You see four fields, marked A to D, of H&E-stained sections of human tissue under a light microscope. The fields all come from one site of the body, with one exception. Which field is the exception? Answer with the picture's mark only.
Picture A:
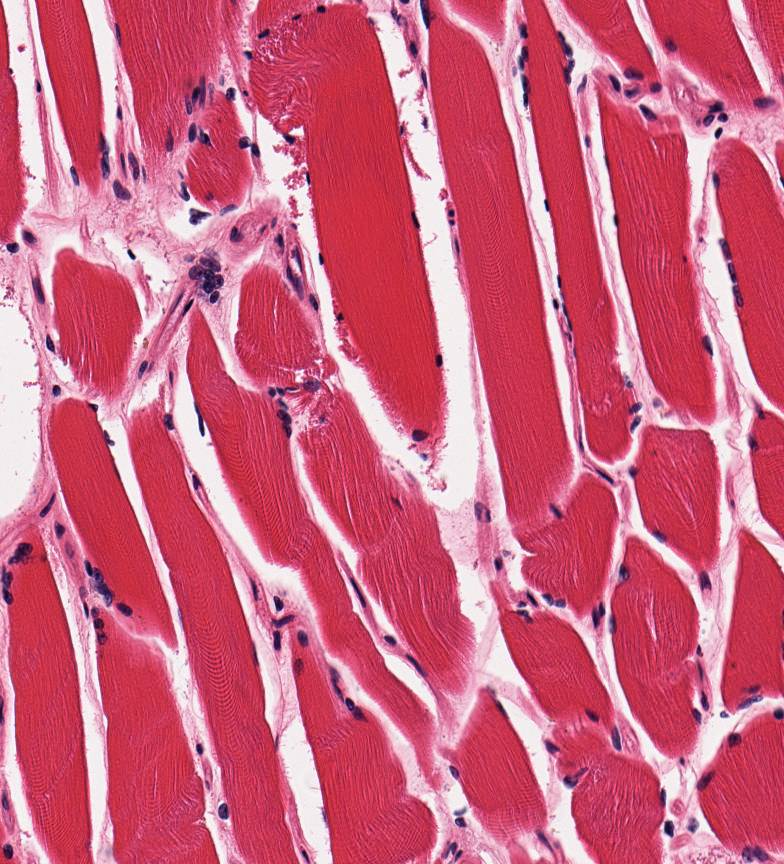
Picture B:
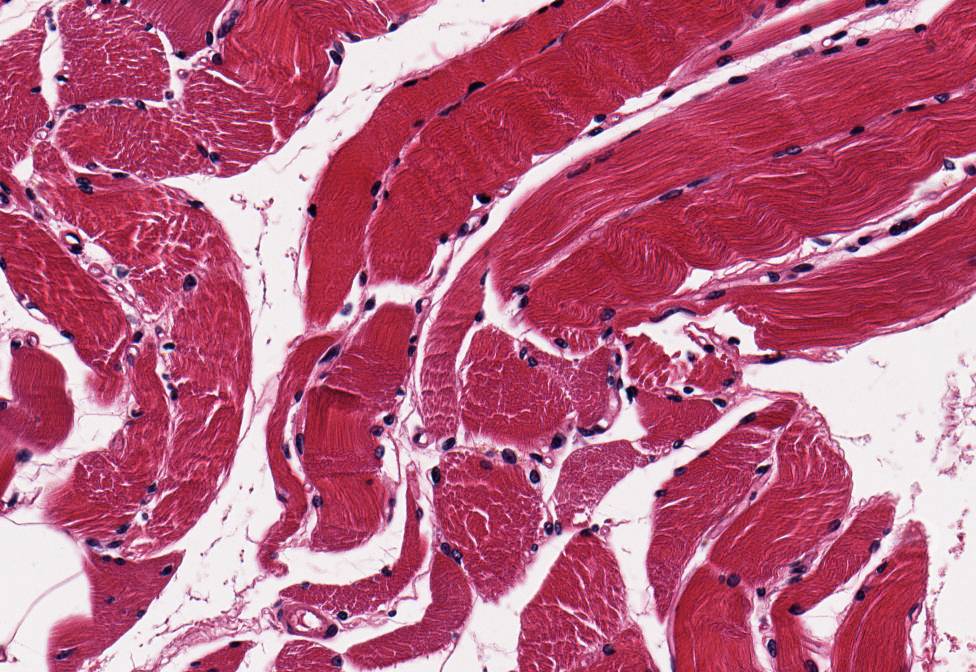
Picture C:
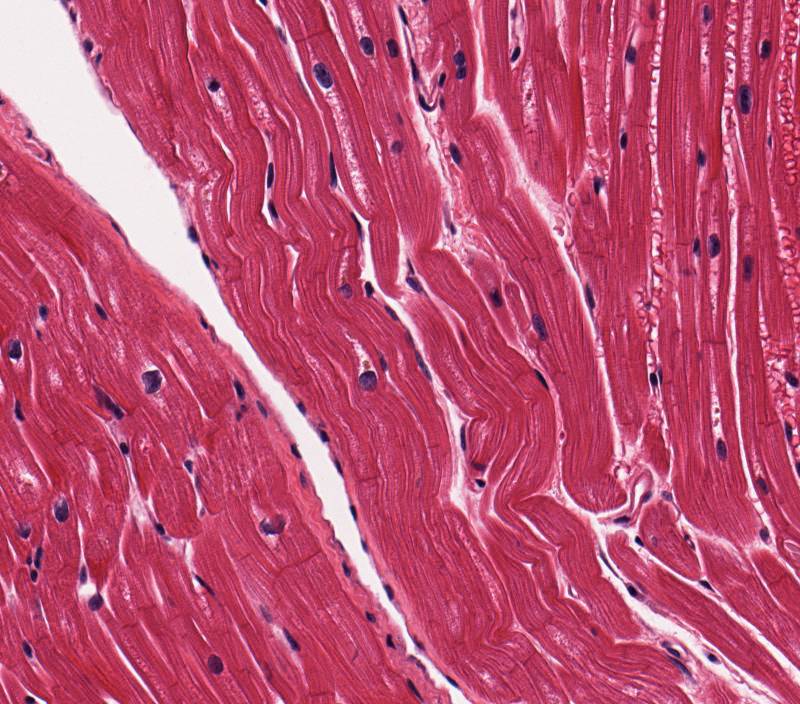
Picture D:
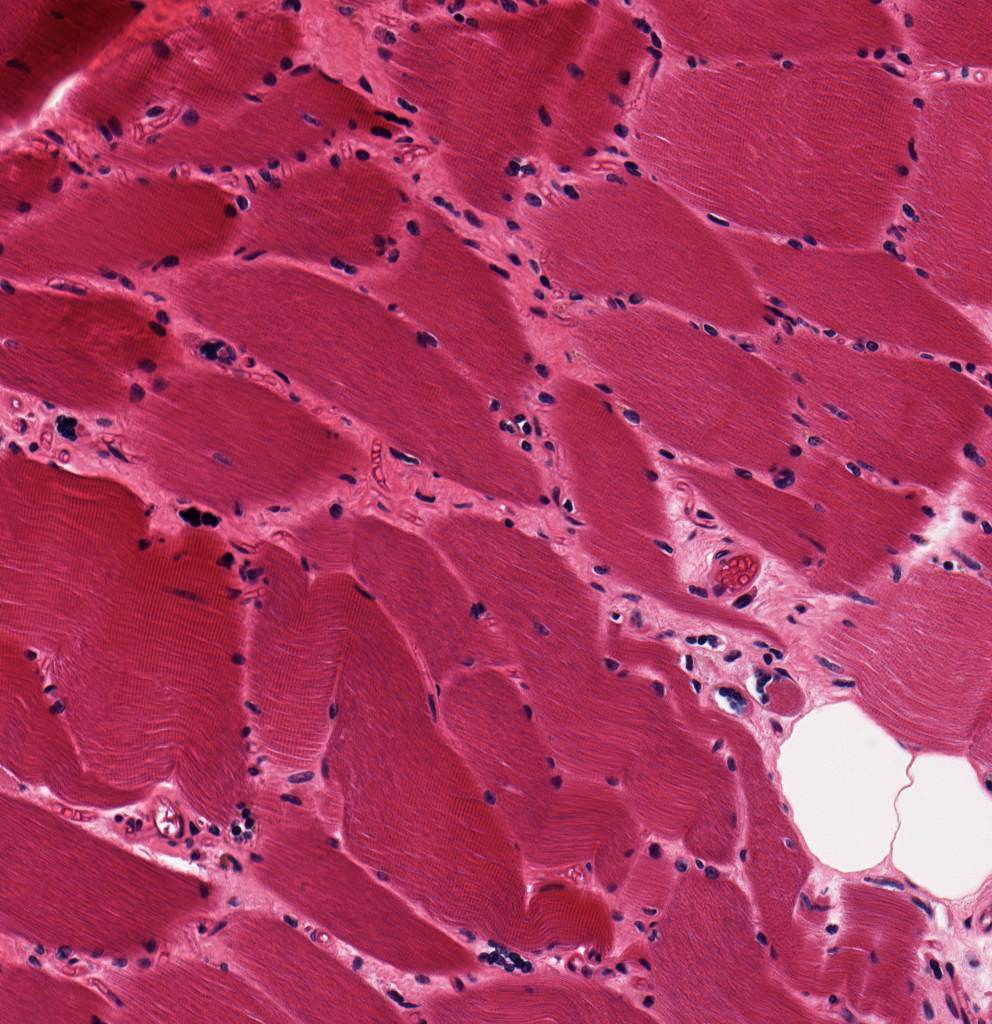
C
